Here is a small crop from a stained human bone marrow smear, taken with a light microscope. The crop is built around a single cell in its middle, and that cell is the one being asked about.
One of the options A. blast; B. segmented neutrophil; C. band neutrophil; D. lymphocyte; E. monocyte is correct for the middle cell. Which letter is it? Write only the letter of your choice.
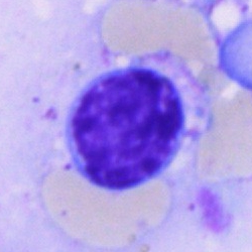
D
